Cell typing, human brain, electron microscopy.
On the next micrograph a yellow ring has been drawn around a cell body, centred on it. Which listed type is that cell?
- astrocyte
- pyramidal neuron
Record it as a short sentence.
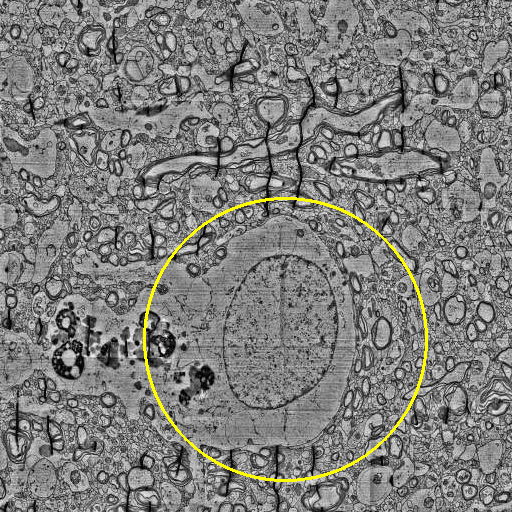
The cell body in the ring's centre belongs to an astrocyte.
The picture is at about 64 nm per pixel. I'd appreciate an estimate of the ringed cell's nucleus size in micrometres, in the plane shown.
The nucleus works out at approximately 10 by 7 micrometres in this plane.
